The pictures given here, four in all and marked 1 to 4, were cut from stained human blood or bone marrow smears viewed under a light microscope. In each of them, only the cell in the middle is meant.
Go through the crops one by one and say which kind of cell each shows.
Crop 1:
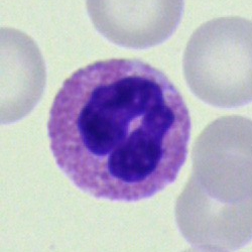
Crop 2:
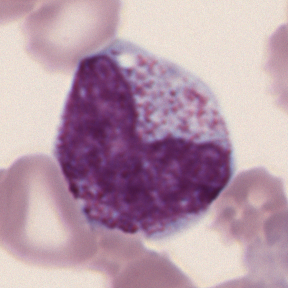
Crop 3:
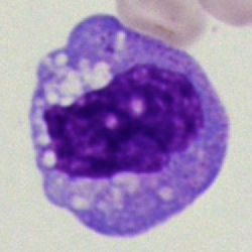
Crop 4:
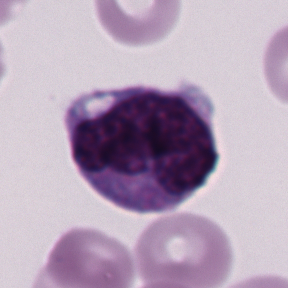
1: eosinophil
2: band neutrophil
3: monocyte
4: monocyte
